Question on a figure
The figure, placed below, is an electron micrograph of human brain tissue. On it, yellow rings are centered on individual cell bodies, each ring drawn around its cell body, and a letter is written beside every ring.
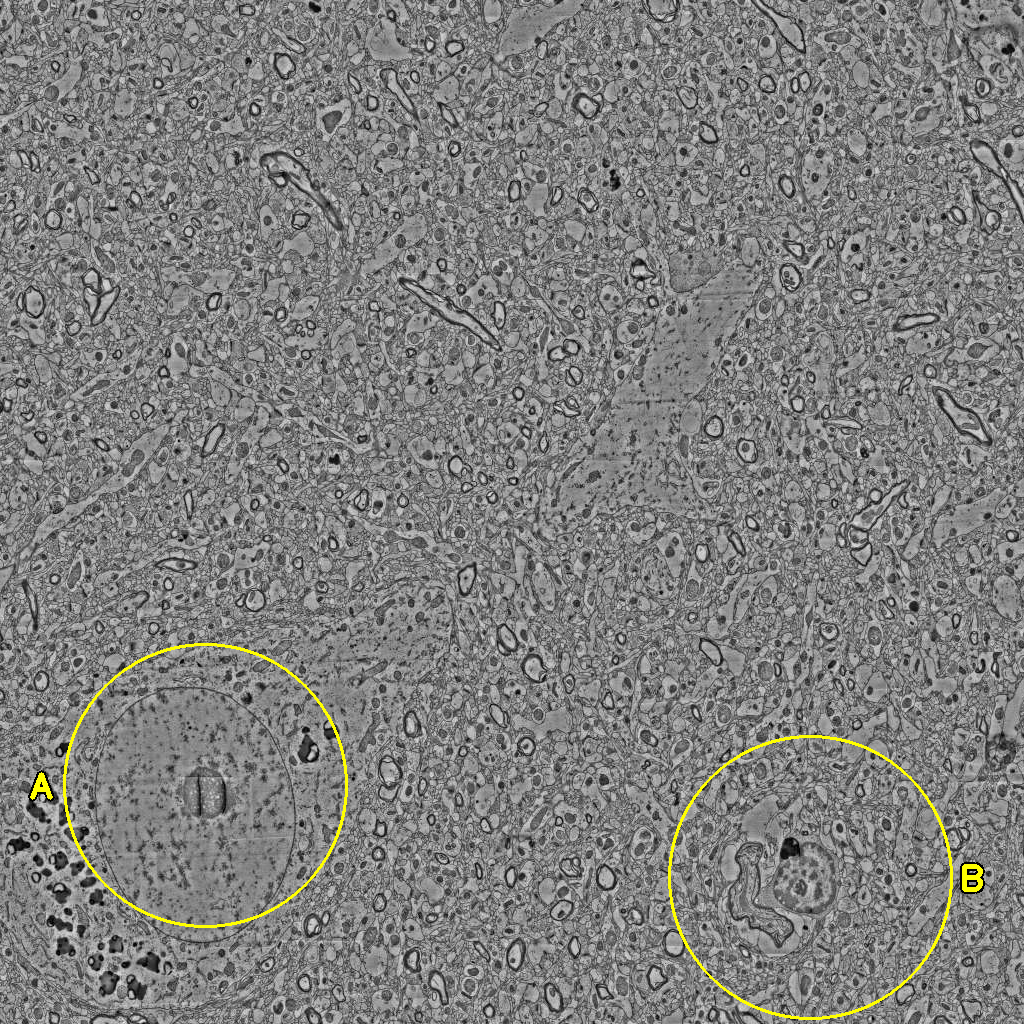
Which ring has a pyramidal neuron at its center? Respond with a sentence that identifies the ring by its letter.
The ring marked A has it at its center.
